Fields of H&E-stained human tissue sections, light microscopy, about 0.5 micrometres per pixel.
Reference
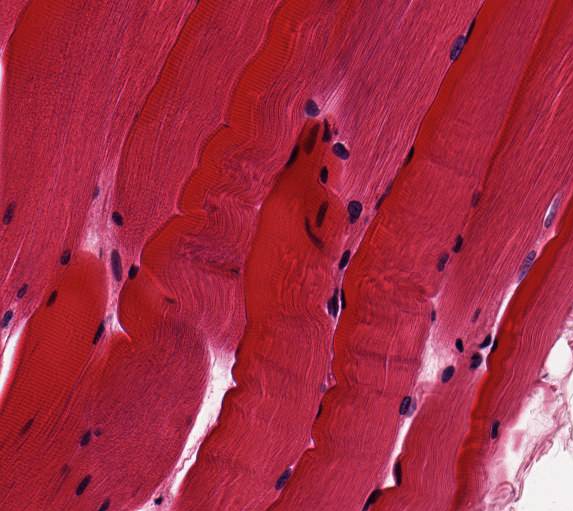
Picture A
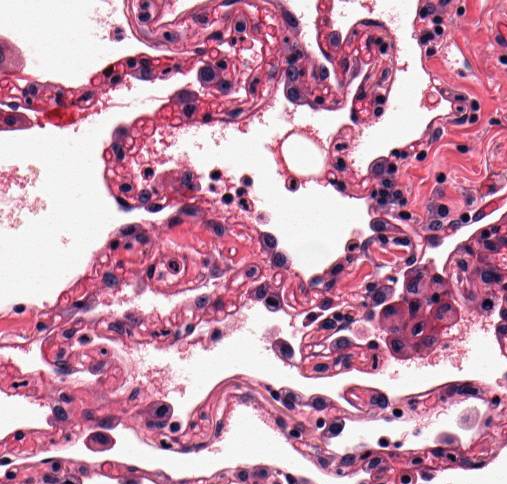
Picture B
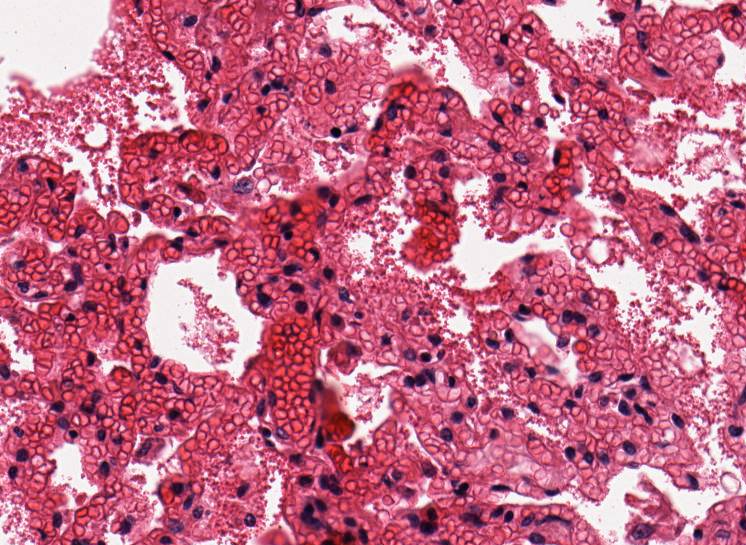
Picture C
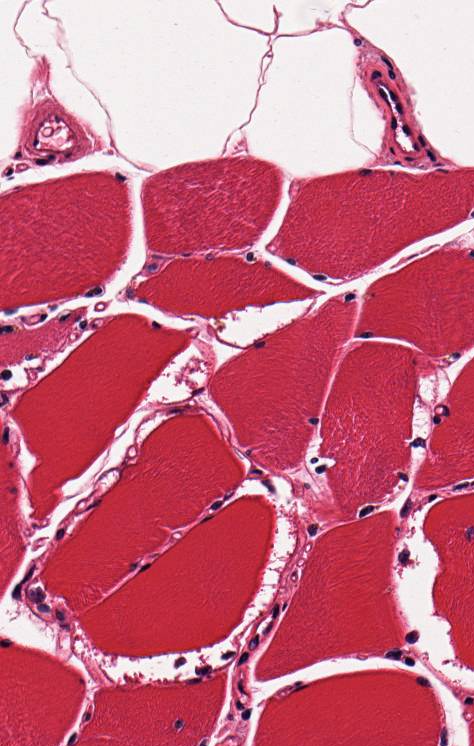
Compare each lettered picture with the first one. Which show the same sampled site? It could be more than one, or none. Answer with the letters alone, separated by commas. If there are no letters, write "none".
C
